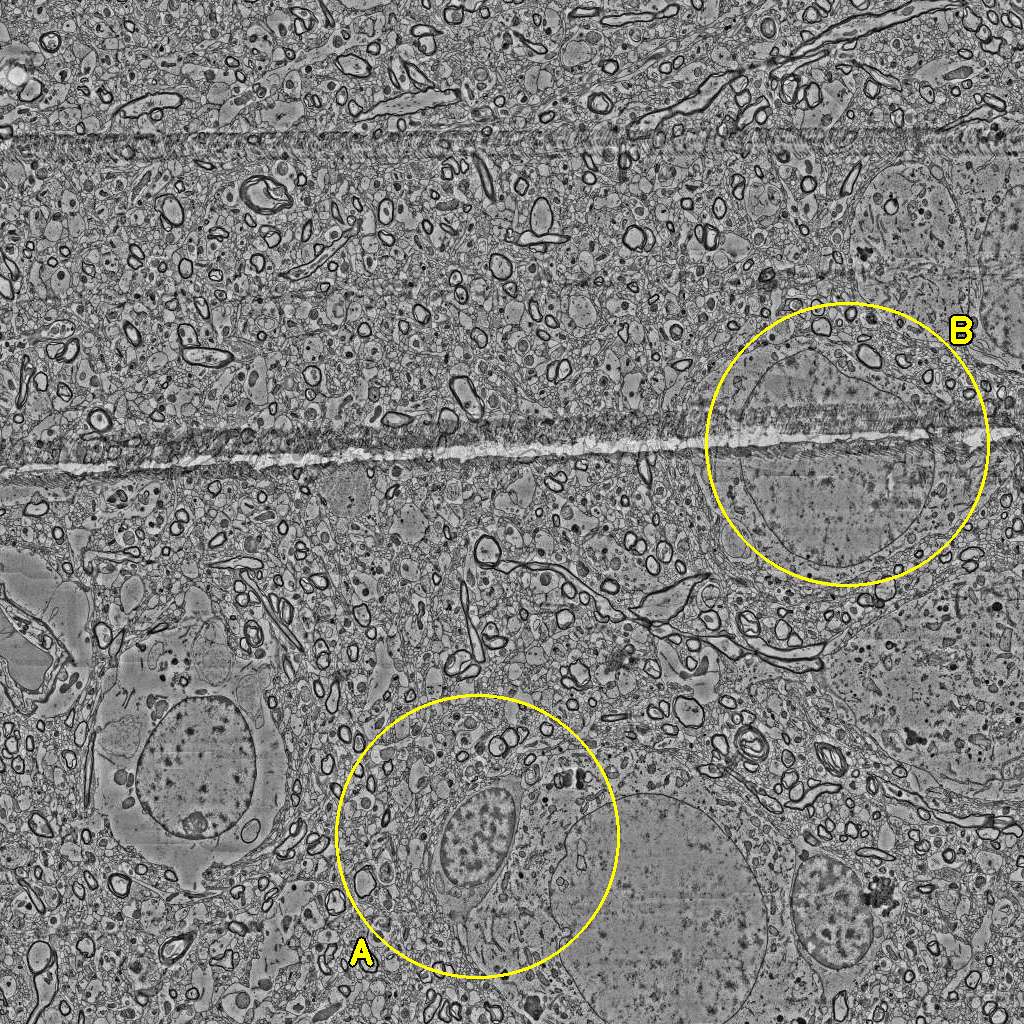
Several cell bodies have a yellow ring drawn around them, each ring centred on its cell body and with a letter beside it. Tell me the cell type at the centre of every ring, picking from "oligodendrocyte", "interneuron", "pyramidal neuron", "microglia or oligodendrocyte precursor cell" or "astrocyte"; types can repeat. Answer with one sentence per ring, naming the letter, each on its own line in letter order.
In ring A, the central cell is an oligodendrocyte.
In ring B, the central cell is a pyramidal neuron.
